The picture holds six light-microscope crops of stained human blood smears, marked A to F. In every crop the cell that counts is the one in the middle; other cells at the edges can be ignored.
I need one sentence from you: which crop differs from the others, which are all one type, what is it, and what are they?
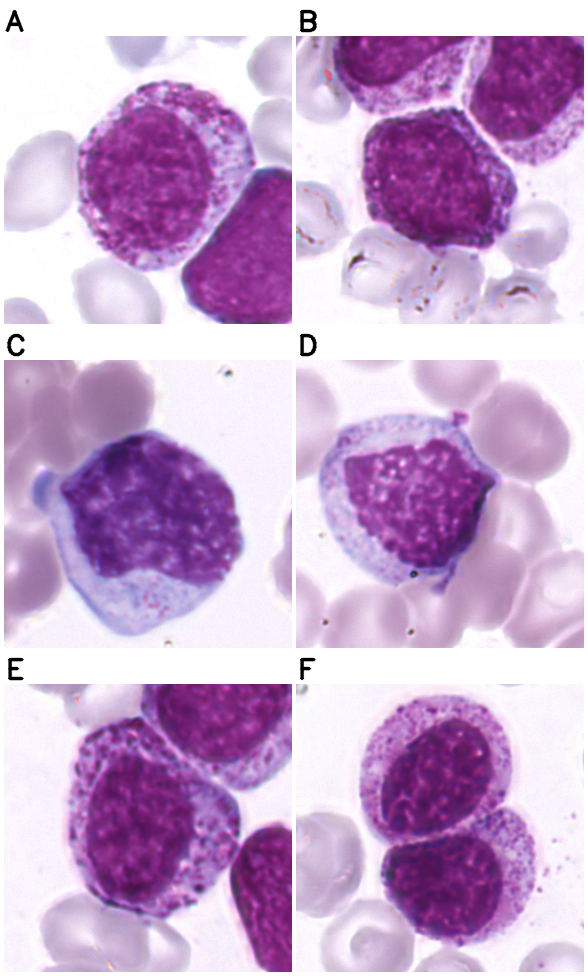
All the crops show myelocytes except crop C, which shows a promyelocyte.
